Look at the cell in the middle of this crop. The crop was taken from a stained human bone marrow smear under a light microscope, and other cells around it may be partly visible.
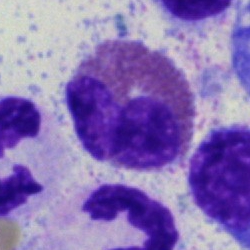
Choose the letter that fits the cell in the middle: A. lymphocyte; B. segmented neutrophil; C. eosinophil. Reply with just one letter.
C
